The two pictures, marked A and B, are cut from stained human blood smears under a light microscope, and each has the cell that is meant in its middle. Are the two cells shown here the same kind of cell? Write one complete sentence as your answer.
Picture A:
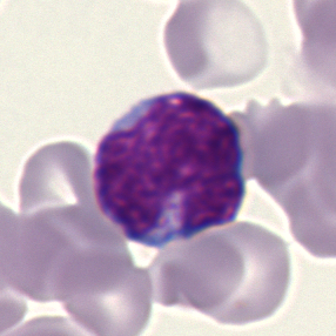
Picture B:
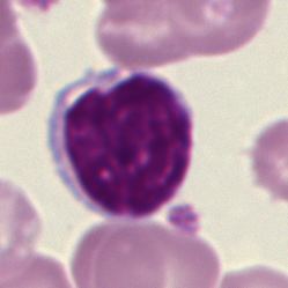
Yes; the cells in both pictures are typical lymphocytes.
